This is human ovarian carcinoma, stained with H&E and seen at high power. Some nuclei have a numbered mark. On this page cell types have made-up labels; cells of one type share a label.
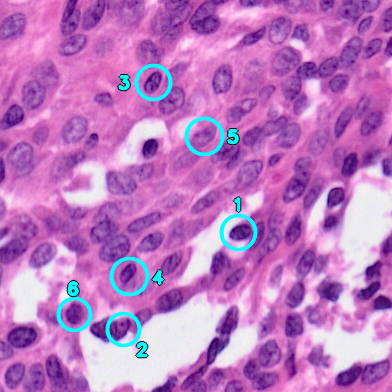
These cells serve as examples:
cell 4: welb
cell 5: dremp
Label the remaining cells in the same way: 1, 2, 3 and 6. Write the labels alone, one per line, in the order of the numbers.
dremp
dremp
welb
dremp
